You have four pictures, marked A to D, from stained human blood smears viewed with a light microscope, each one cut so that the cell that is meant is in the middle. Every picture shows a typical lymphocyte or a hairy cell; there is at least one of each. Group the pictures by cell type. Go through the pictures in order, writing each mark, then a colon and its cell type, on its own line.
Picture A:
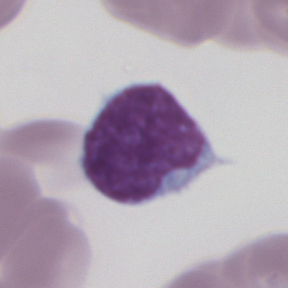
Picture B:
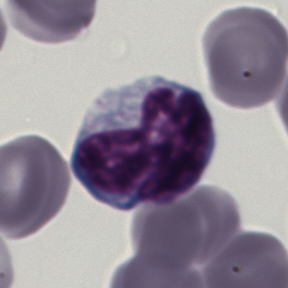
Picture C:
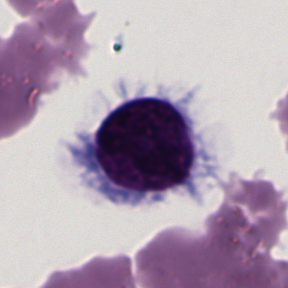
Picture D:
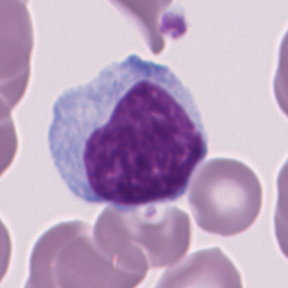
A: typical lymphocyte
B: typical lymphocyte
C: hairy cell
D: typical lymphocyte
